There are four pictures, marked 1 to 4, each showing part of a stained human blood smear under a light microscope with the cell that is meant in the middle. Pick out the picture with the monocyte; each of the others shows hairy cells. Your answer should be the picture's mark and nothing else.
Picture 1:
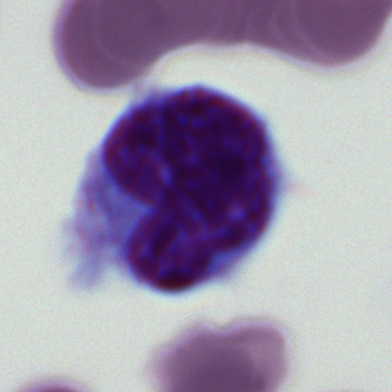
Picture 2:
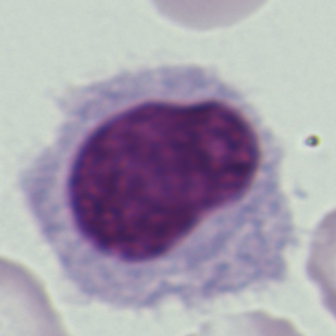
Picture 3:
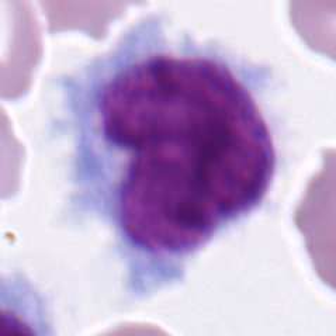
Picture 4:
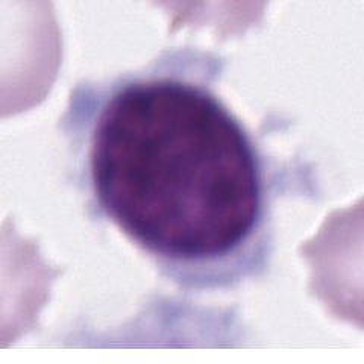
1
